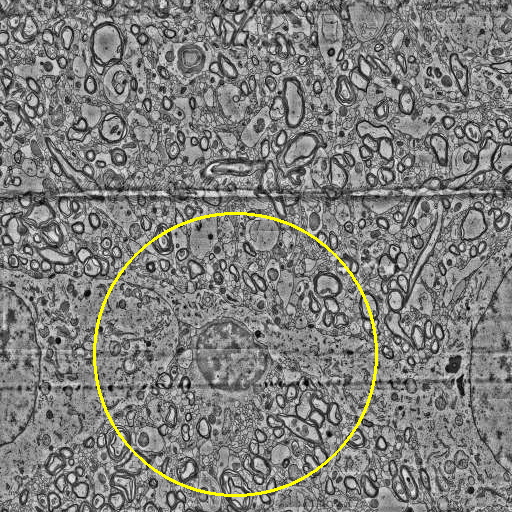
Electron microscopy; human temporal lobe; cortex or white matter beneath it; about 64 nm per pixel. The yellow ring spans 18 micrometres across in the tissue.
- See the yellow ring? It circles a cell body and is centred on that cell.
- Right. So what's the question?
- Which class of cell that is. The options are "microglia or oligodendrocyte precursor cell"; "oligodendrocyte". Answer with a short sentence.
The centre of the ring holds an oligodendrocyte.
